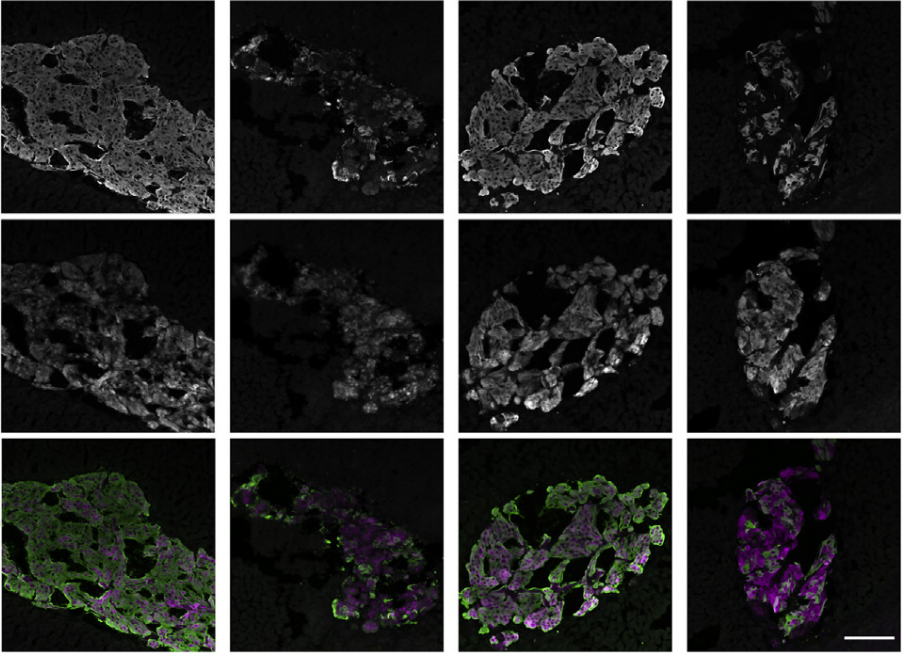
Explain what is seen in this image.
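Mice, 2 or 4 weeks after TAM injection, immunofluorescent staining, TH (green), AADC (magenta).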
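These are sections through the adrenal gland showing compact nests and cords of polygonal cells that stand out brightly against a dark, unlabelled surrounding tissue. In the merged pictures the cells are rimmed and filled with green and magenta label, and in some sections the green is much sparser and patchier, so that magenta dominates the cell clusters.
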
